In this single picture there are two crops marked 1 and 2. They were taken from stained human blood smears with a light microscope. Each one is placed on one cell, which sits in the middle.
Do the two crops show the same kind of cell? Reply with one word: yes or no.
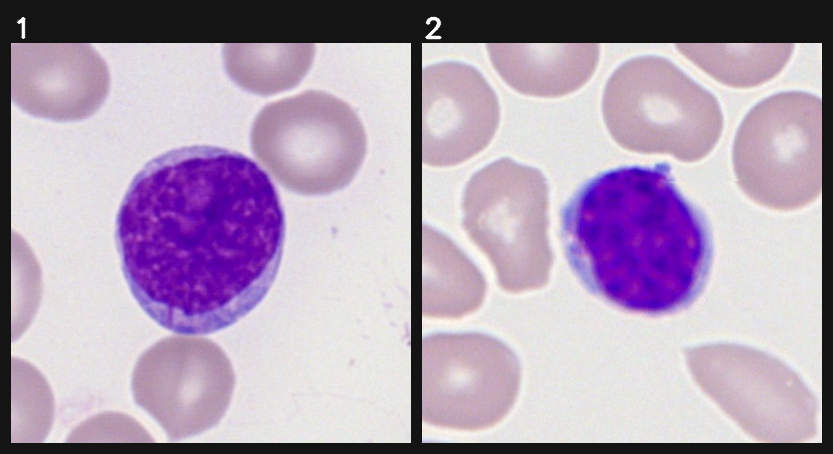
no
